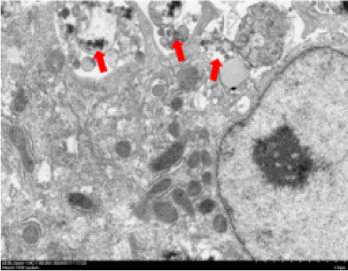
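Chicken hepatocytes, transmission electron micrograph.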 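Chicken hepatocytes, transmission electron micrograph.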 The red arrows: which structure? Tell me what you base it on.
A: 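Auto-phagolysosomes. The arrows point to membrane-bound vacuoles in the cytoplasm. The vacuoles hold dark, irregular material.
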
